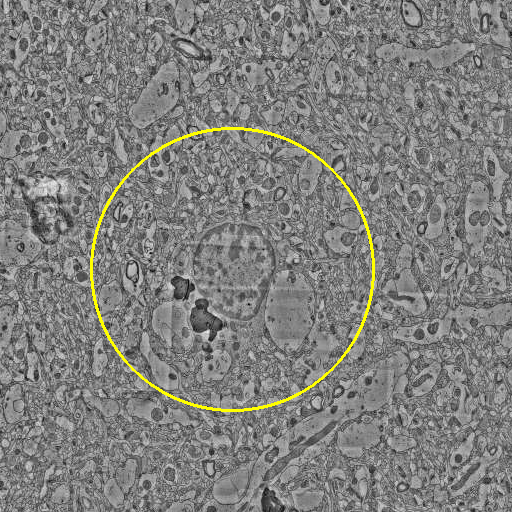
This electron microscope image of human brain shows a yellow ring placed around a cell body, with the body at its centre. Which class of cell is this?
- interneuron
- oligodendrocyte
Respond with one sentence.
The cell body at the ring's centre is an oligodendrocyte.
